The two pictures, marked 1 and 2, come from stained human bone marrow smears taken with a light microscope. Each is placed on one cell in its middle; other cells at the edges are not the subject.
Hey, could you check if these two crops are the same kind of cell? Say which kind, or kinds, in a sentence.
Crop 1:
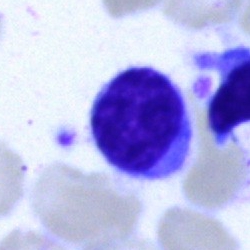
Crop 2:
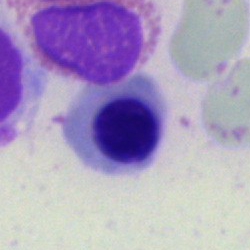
No, crop 1 and crop 2 show a lymphocyte and an erythroblast respectively.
